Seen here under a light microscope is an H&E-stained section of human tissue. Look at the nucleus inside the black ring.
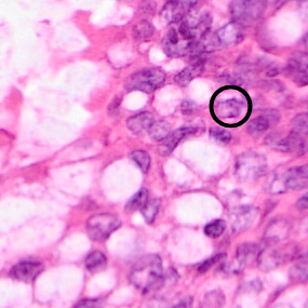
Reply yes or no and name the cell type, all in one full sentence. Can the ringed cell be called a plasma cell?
No, the ringed cell is a ciliated epithelial cell rather than a plasma cell in this section.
